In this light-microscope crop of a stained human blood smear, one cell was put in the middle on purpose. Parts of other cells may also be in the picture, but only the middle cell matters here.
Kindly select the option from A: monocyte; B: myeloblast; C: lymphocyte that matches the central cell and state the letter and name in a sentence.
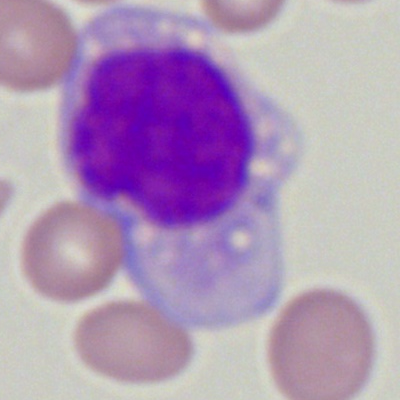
The cell at the heart of the crop is a monocyte, so choose option A.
